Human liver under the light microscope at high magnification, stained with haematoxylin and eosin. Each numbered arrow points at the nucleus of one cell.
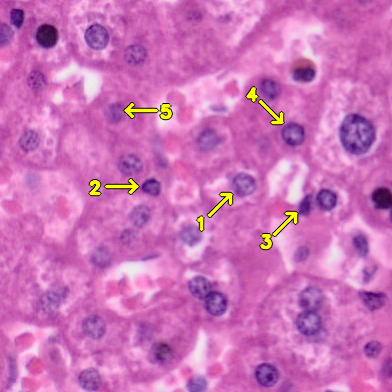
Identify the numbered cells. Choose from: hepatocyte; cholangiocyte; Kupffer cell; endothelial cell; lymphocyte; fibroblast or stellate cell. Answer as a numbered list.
1. hepatocyte
2. fibroblast or stellate cell
3. fibroblast or stellate cell
4. hepatocyte
5. hepatocyte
